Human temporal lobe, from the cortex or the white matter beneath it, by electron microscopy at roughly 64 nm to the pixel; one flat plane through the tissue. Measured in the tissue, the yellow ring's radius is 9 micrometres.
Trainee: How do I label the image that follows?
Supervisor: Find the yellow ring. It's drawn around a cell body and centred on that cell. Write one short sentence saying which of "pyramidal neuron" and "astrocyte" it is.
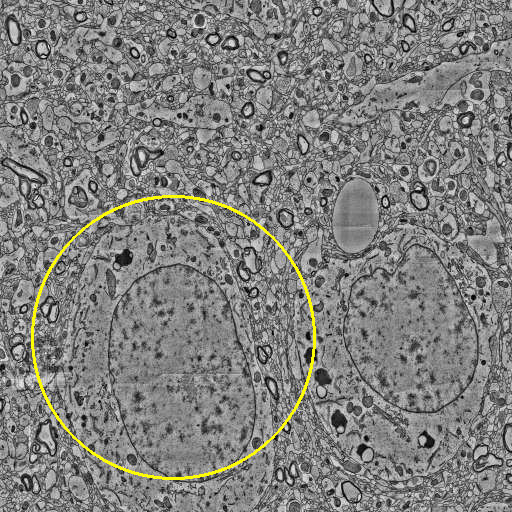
This is the cell body of a pyramidal neuron.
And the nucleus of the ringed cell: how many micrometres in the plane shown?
The nucleus is approximately 14 micrometres long but only about 9 wide, clearly longer than it is wide in this plane.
